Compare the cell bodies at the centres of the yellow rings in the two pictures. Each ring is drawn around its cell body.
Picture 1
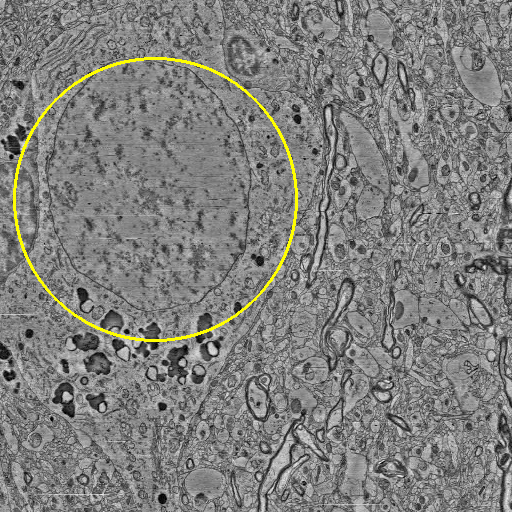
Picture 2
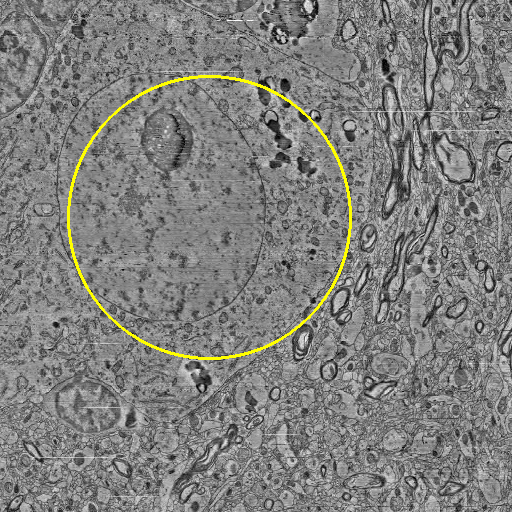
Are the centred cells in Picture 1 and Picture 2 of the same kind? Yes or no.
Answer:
yes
